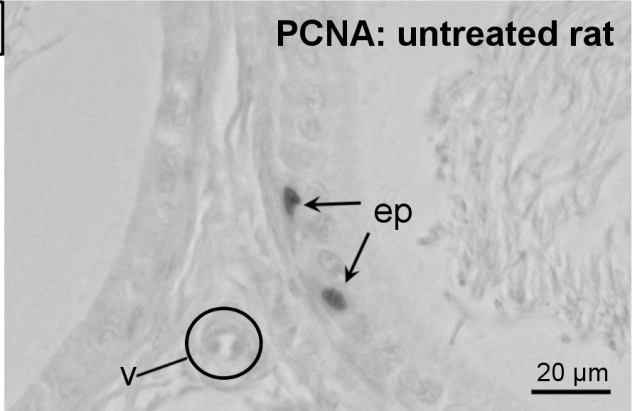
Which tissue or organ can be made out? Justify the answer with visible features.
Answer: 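A duct lined by tall columnar epithelium. A lumen filled with a mass of sperm. Loose connective tissue with a small vessel between duct walls.
Hence: epididymis.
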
